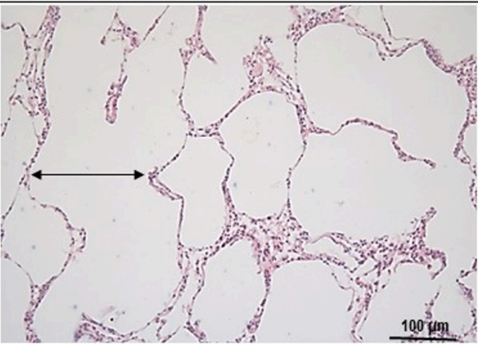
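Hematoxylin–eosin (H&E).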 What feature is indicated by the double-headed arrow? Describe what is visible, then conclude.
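The double-headed arrow spans one empty airspace from wall to wall. The airspace is bounded by thin septa. The answer: alveolar diameter.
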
